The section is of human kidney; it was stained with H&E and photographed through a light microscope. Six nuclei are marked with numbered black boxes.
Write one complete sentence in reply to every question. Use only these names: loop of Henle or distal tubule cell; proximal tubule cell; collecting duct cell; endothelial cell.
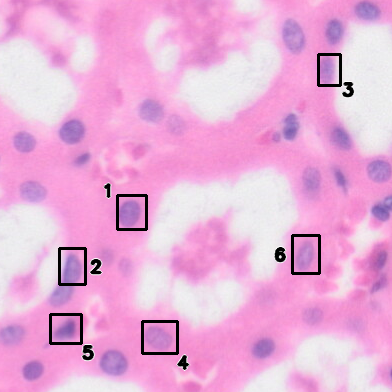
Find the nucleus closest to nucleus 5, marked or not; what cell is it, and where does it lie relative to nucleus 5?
A loop of Henle or distal tubule cell lies closest, above nucleus 5.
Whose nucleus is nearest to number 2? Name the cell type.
The nucleus nearest to number 2 is that of a loop of Henle or distal tubule cell.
